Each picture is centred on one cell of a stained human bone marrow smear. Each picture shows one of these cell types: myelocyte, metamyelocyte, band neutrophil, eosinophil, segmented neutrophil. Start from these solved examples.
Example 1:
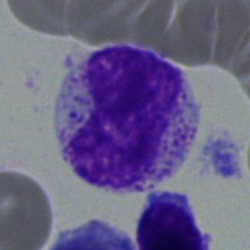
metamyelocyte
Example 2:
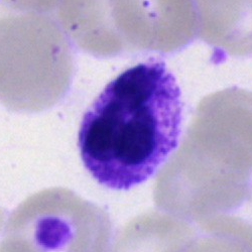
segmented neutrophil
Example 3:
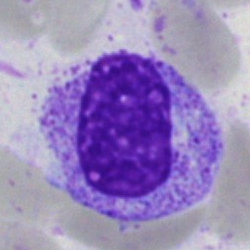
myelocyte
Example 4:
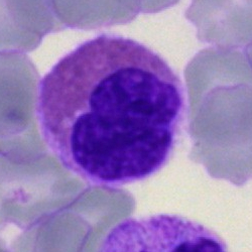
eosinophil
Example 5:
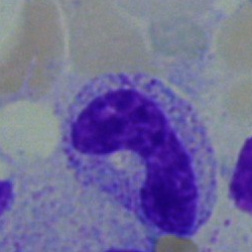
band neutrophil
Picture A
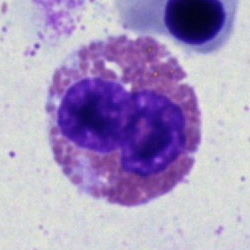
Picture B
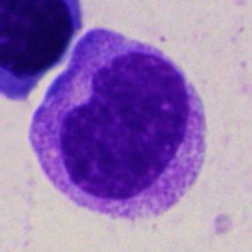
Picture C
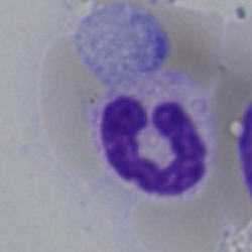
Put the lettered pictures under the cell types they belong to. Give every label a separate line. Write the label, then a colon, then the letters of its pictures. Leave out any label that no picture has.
metamyelocyte: B
band neutrophil: C
eosinophil: A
